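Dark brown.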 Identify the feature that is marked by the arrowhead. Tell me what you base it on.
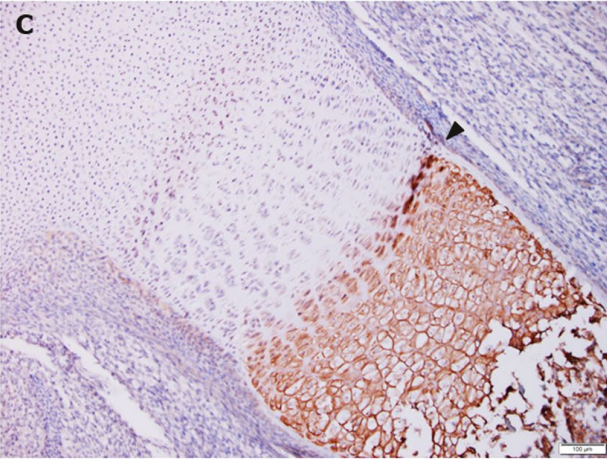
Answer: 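The arrowhead points to the upper edge of the brown-stained region. Above the edge the cells are small and unstained; below it they are large and ringed with brown.
Conclusion: the boundary between proliferative and hypertrophic zones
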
